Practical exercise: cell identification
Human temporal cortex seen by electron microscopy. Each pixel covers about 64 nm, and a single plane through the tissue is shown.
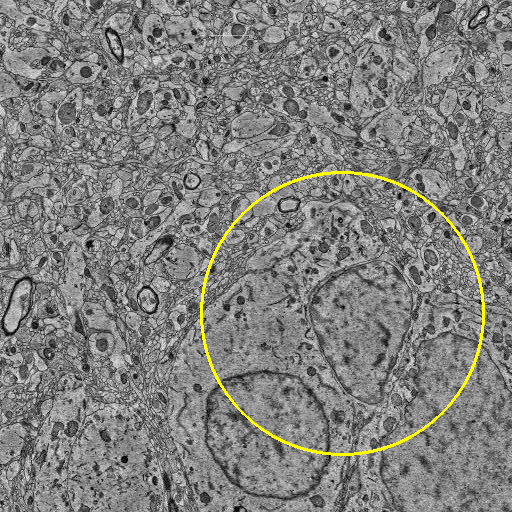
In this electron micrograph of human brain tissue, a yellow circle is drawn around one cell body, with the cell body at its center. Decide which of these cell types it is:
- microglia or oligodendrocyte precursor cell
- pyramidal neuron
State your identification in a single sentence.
The ringed cell is a microglial cell or oligodendrocyte precursor cell.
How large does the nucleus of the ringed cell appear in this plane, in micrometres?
In this plane the nucleus spans approximately 9 by 7 micrometers.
